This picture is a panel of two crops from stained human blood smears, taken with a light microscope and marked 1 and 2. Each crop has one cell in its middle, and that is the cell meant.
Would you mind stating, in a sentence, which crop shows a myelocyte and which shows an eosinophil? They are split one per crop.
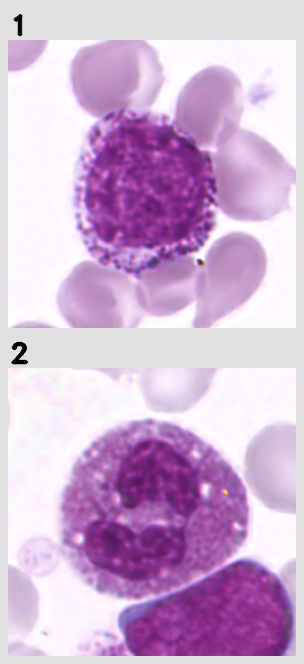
As for the pair, crop 1 is a myelocyte and crop 2 is an eosinophil.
